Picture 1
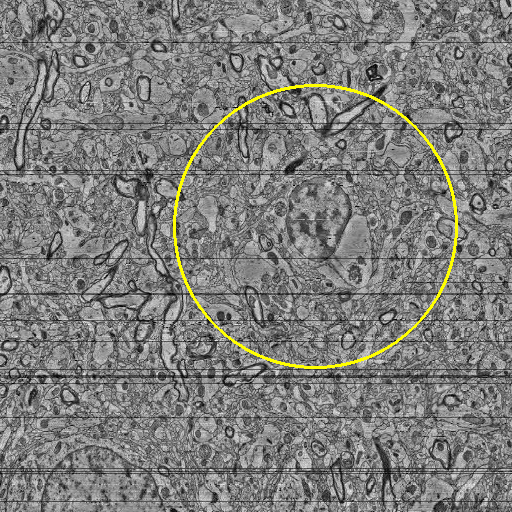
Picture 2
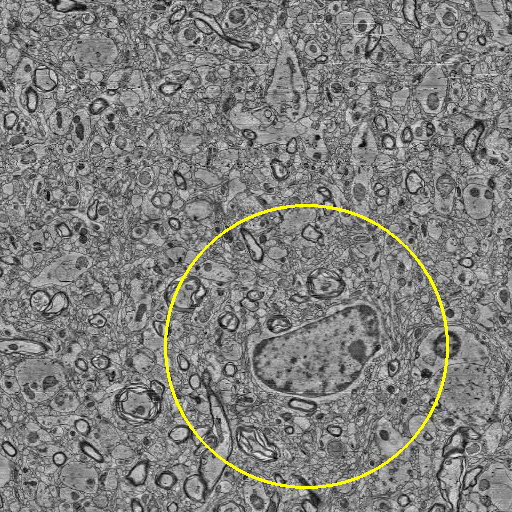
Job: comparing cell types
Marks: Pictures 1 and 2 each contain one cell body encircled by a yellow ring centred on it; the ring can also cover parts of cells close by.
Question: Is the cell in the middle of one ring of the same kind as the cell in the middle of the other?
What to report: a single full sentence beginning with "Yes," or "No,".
Yes, the cell at the ring centre in Picture 1 and its partner in Picture 2 are of one kind.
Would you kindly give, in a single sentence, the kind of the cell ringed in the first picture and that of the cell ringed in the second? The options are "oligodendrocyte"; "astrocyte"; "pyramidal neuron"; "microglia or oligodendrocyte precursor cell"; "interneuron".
Each of the two pictures has a microglial cell or oligodendrocyte precursor cell at the ring centre.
